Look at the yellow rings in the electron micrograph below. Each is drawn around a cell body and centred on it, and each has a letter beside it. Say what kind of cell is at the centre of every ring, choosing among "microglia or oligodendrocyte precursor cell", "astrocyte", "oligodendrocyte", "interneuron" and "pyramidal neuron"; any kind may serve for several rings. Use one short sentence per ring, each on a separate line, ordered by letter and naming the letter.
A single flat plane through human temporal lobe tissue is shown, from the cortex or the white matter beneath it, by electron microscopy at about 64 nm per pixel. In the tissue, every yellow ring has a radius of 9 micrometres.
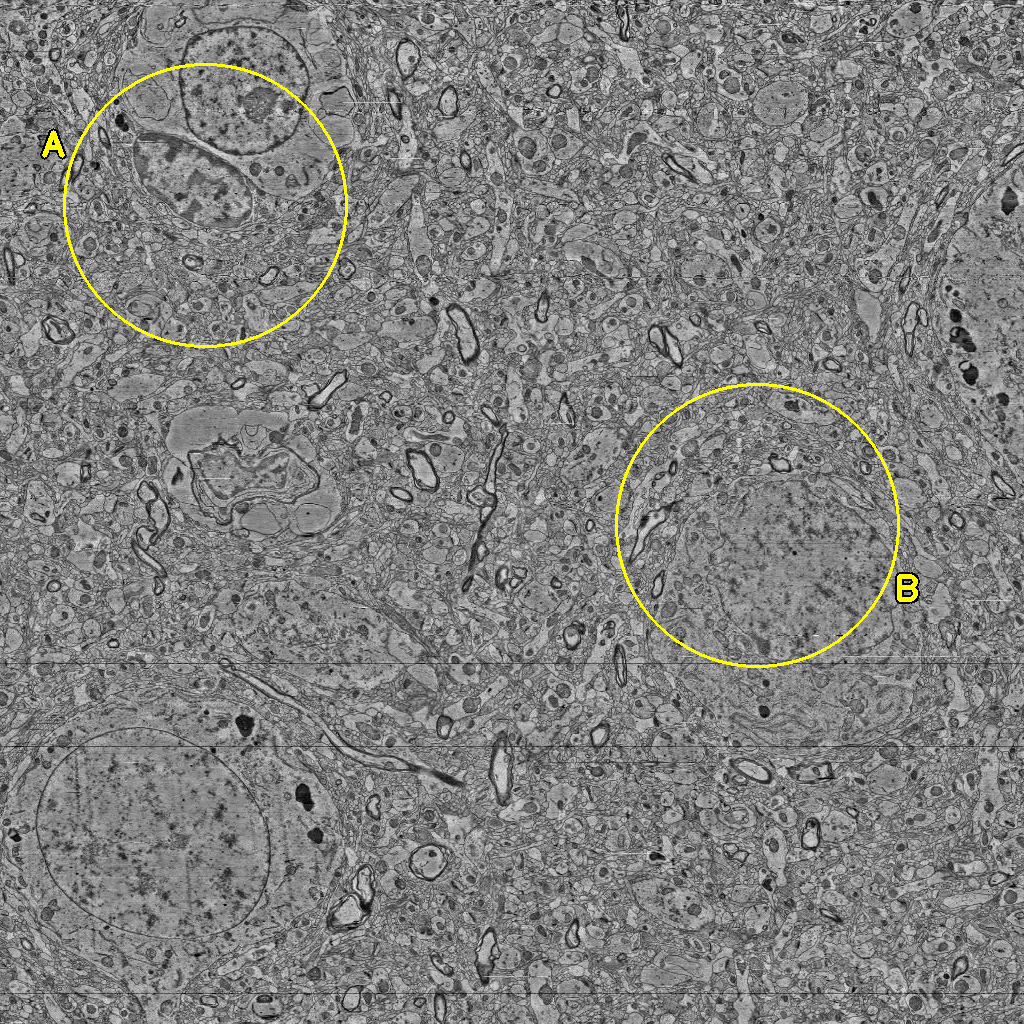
Ring A encircles a microglial cell or oligodendrocyte precursor cell.
Ring B encircles an interneuron.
